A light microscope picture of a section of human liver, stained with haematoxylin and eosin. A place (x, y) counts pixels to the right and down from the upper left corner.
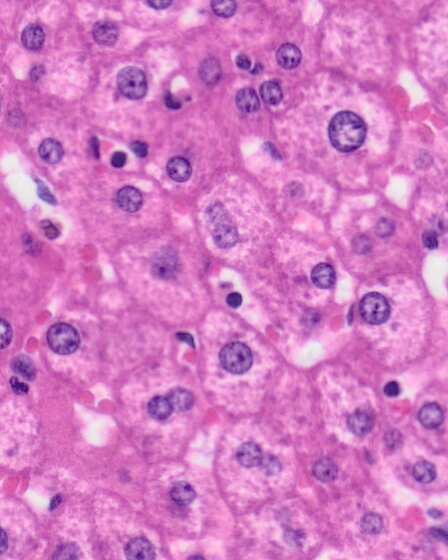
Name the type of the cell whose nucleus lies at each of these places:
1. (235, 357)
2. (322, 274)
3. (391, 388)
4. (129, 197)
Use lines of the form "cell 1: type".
cell 1: hepatocyte
cell 2: hepatocyte
cell 3: lymphocyte
cell 4: hepatocyte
